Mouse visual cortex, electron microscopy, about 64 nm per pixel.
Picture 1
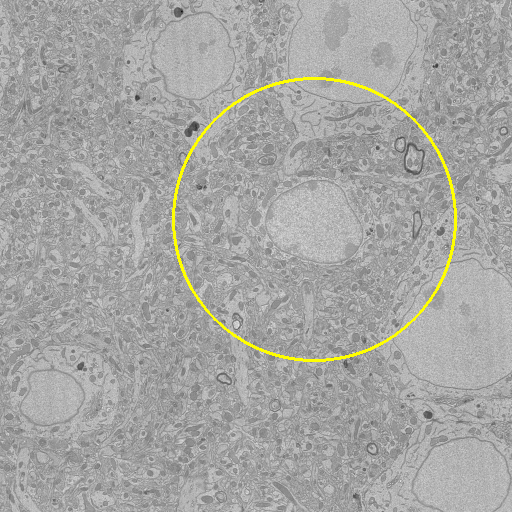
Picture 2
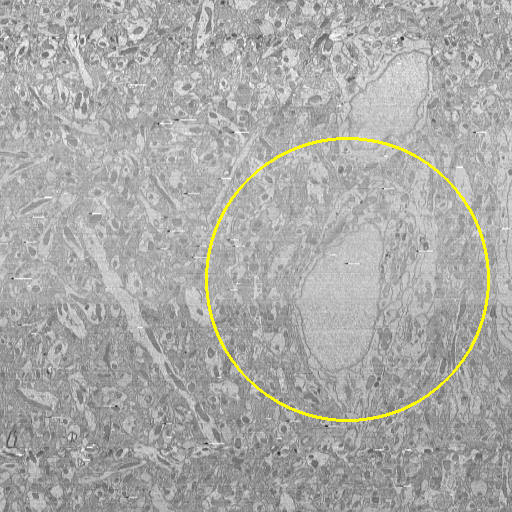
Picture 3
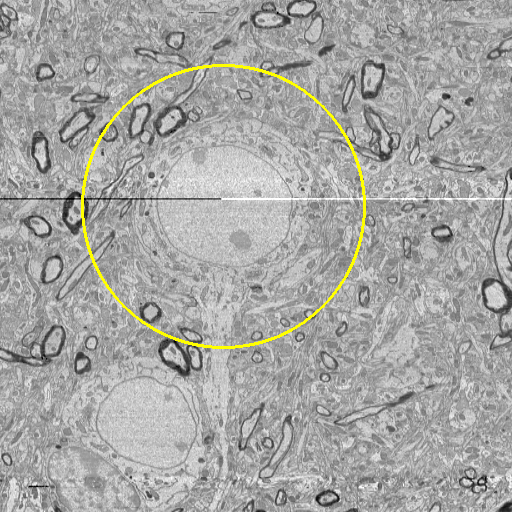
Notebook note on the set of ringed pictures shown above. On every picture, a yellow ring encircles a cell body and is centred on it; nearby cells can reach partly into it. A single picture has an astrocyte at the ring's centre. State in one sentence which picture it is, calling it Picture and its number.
Picture 1 is the one whose ring is centred on the sought cell.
